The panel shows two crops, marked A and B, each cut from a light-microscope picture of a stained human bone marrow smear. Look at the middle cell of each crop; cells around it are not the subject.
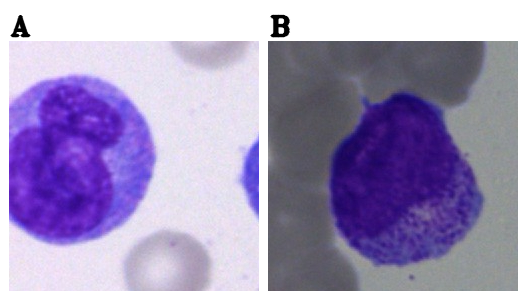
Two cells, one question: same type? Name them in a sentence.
No, crop A presents a monocyte, whereas crop B presents a myelocyte.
